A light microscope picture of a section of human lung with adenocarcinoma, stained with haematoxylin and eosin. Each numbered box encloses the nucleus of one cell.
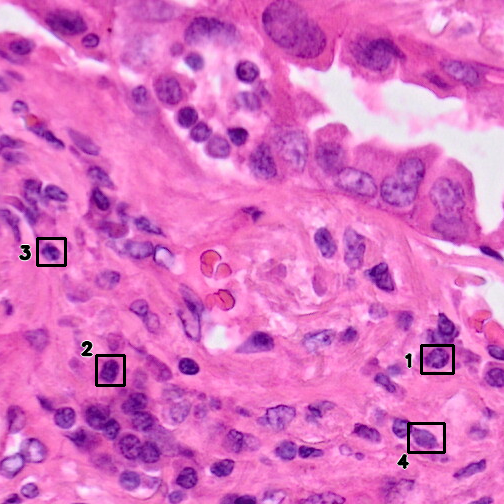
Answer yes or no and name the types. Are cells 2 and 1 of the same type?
Yes, both of cells 2 and 1 are plasma cells.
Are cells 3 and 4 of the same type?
Yes, cells 3 and 4 are alike in being lymphocytes.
